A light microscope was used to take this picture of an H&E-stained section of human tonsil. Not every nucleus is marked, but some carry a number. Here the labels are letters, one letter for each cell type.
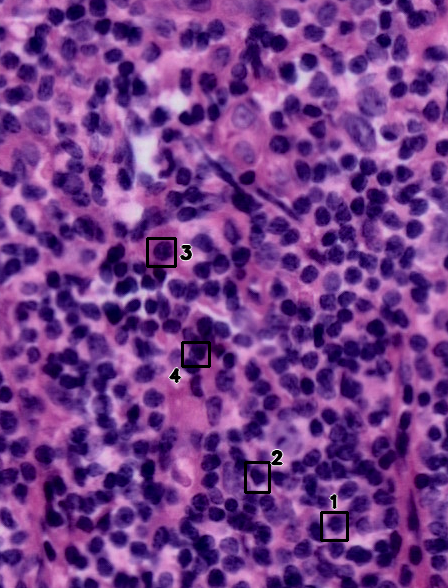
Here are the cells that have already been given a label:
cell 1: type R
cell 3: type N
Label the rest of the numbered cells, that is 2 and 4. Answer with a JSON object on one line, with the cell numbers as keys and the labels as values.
{"2": "type R", "4": "type R"}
